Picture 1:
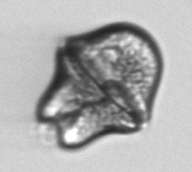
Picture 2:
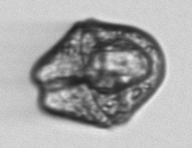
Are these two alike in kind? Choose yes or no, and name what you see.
Yes. Akashiwo.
